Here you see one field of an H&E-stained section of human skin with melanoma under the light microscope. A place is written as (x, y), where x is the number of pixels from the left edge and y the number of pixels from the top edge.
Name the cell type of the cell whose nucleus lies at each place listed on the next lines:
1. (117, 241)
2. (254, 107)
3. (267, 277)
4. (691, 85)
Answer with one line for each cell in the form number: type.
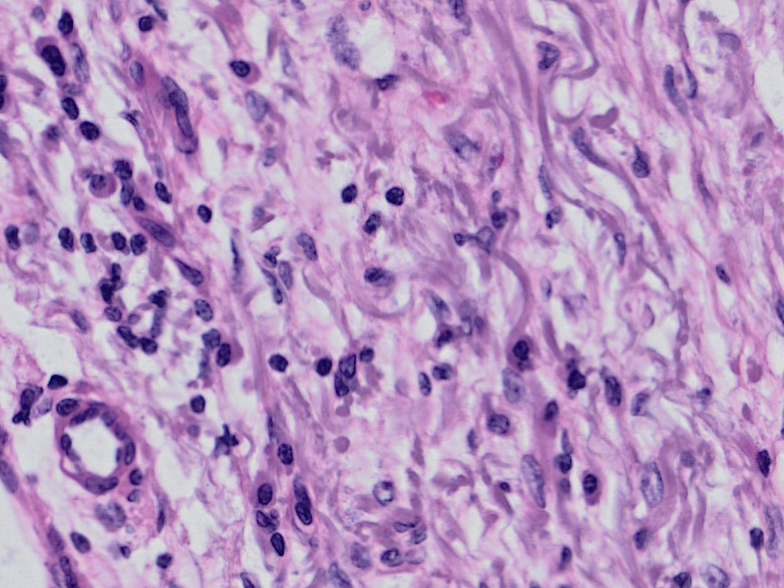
1: lymphocyte
2: fibroblast or myofibroblast
3: fibroblast or myofibroblast
4: fibroblast or myofibroblast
